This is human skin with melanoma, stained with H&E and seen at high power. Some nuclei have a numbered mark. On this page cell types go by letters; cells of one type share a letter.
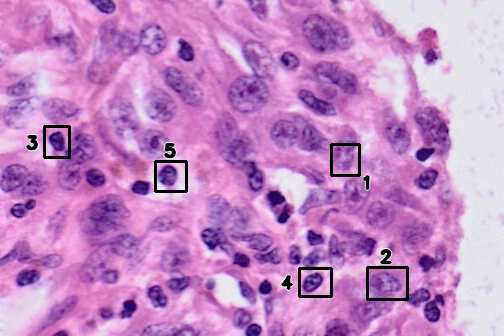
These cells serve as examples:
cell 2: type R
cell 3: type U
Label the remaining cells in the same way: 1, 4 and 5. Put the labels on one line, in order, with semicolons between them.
type R; type U; type U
